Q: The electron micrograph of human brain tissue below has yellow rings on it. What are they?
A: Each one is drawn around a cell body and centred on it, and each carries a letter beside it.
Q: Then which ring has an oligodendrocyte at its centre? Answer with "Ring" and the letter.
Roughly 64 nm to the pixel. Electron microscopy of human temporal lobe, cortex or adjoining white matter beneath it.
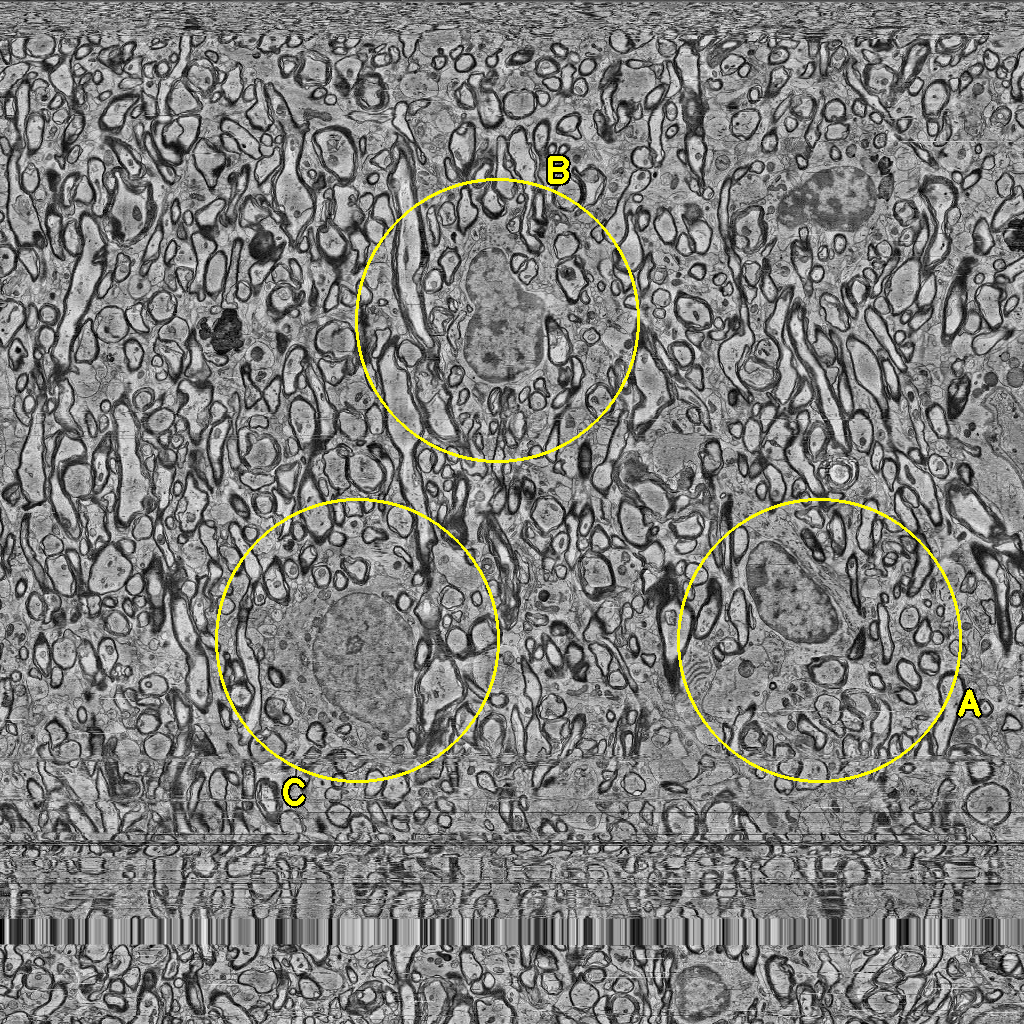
Ring C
